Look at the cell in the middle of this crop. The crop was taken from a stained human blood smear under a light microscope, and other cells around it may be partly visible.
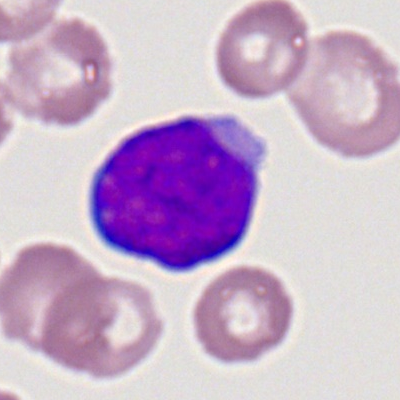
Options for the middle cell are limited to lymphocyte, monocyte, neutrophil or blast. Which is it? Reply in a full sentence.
The cell shown in the center of this light-microscope crop is a blast.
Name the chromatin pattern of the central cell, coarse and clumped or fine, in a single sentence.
The chromatin is fine throughout, without coarse clumps.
